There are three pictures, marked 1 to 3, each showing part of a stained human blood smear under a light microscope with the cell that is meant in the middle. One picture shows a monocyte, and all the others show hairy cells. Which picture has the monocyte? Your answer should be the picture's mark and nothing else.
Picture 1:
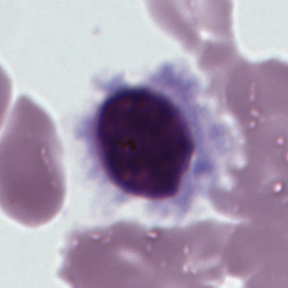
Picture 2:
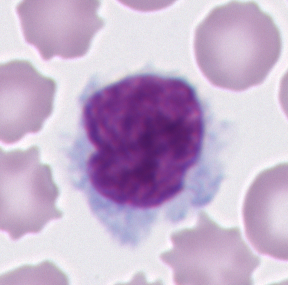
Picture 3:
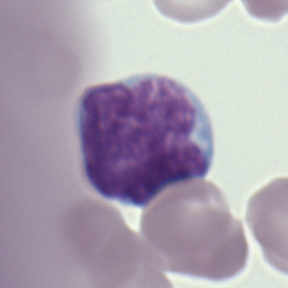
3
